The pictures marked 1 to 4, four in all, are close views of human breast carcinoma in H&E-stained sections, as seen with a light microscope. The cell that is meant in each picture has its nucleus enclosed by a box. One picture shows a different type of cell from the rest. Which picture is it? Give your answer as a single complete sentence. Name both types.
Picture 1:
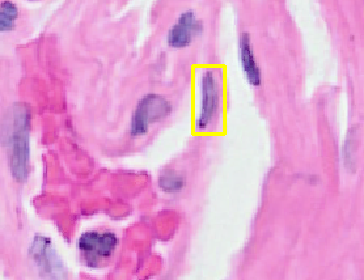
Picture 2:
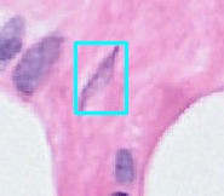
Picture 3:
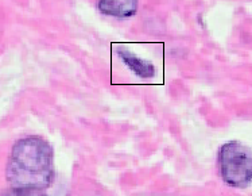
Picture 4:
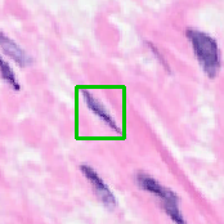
Picture 1 differs, because its cell is an endothelial cell and the rest are fibroblasts.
